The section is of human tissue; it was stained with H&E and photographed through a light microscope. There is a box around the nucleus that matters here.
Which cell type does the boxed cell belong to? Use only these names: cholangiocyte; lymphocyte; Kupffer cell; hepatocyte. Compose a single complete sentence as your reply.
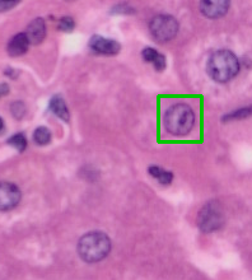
Recorded by type, the boxed cell is a hepatocyte.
